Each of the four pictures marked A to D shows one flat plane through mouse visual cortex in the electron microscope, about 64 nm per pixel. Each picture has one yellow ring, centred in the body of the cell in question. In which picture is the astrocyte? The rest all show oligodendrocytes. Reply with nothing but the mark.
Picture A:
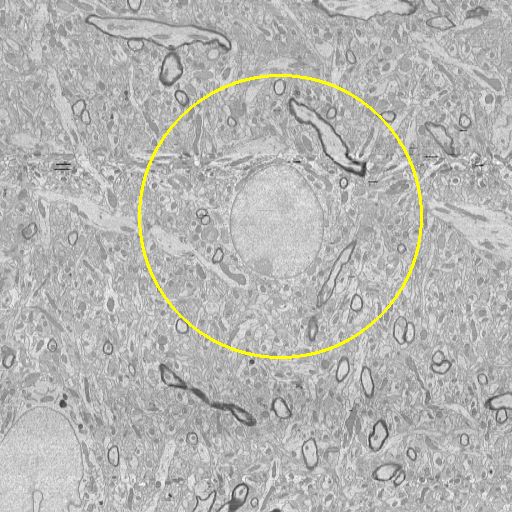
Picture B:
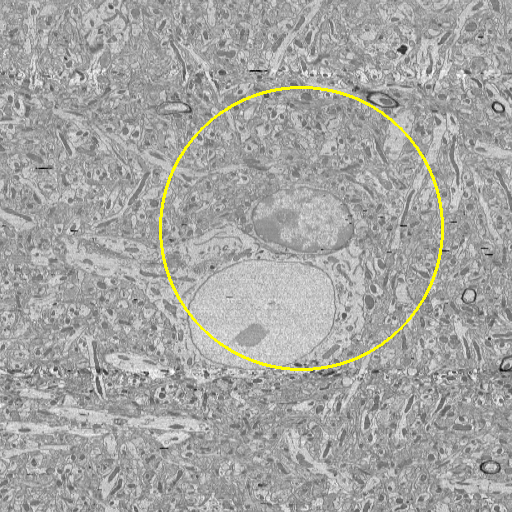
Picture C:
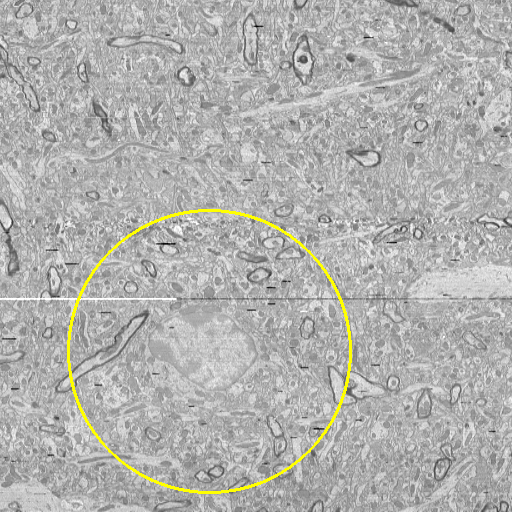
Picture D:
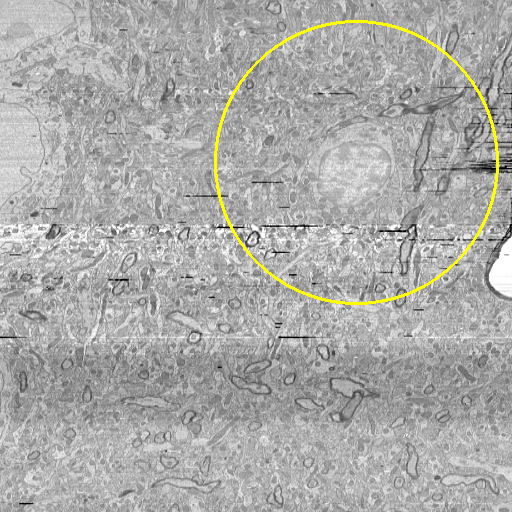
A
